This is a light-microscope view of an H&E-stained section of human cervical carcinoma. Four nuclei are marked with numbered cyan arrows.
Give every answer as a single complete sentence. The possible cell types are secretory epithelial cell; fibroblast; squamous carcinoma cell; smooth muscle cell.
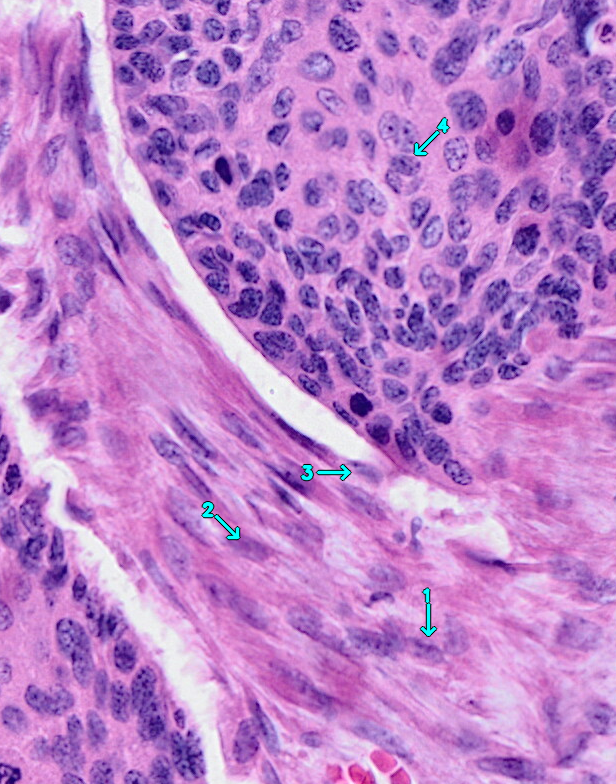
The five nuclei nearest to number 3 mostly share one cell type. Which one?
Squamous carcinoma cells account for more than half of the five nuclei nearest to number 3.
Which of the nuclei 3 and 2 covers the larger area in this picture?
It is nucleus 2, which covers about 2 times the area of nucleus 3.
